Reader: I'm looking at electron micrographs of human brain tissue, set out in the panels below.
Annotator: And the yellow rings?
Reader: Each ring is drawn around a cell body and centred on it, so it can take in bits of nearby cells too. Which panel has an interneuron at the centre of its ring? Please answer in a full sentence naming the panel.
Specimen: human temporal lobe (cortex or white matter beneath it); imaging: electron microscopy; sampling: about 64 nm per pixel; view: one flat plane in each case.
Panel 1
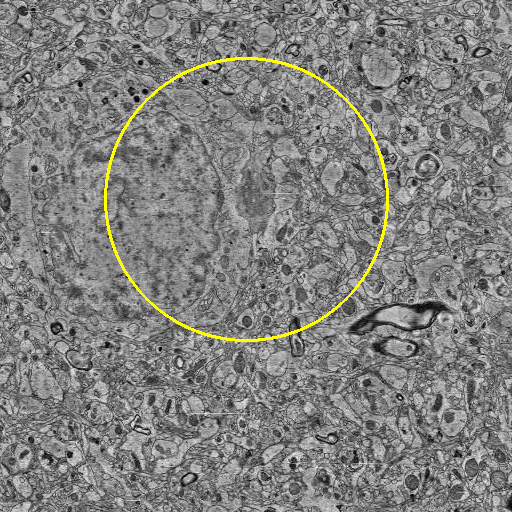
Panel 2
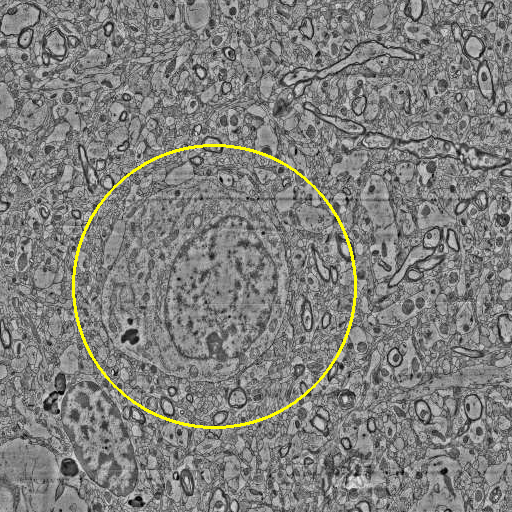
Panel 2 has it at the centre of its ring.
